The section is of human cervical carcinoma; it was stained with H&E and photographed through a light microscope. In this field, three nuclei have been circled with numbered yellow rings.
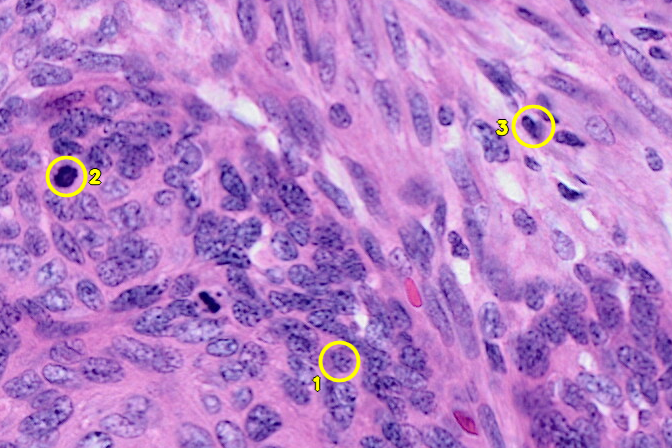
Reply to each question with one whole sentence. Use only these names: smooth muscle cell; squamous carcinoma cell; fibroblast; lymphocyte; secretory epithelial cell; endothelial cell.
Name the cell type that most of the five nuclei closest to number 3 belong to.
Lymphocytes account for more than half of the five nuclei nearest to number 3.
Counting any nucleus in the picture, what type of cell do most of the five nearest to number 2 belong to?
The majority of the five nuclei closest to number 2 belong to squamous carcinoma cells.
